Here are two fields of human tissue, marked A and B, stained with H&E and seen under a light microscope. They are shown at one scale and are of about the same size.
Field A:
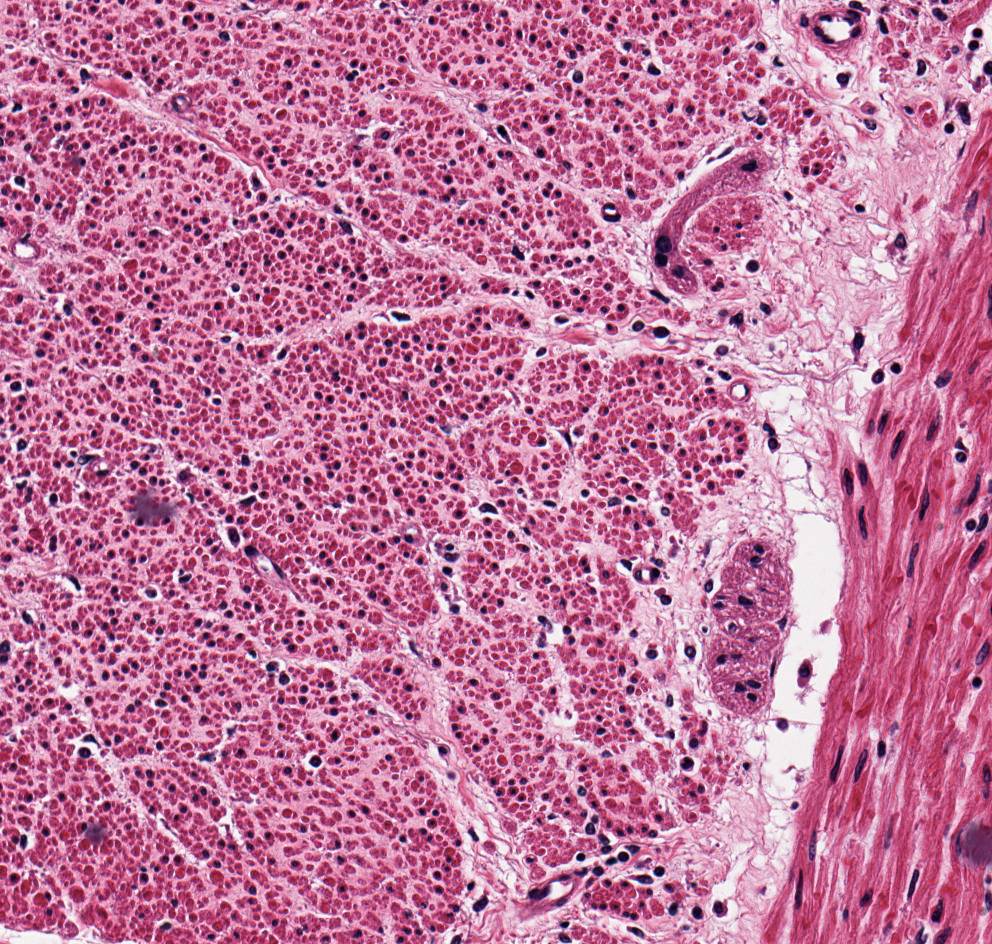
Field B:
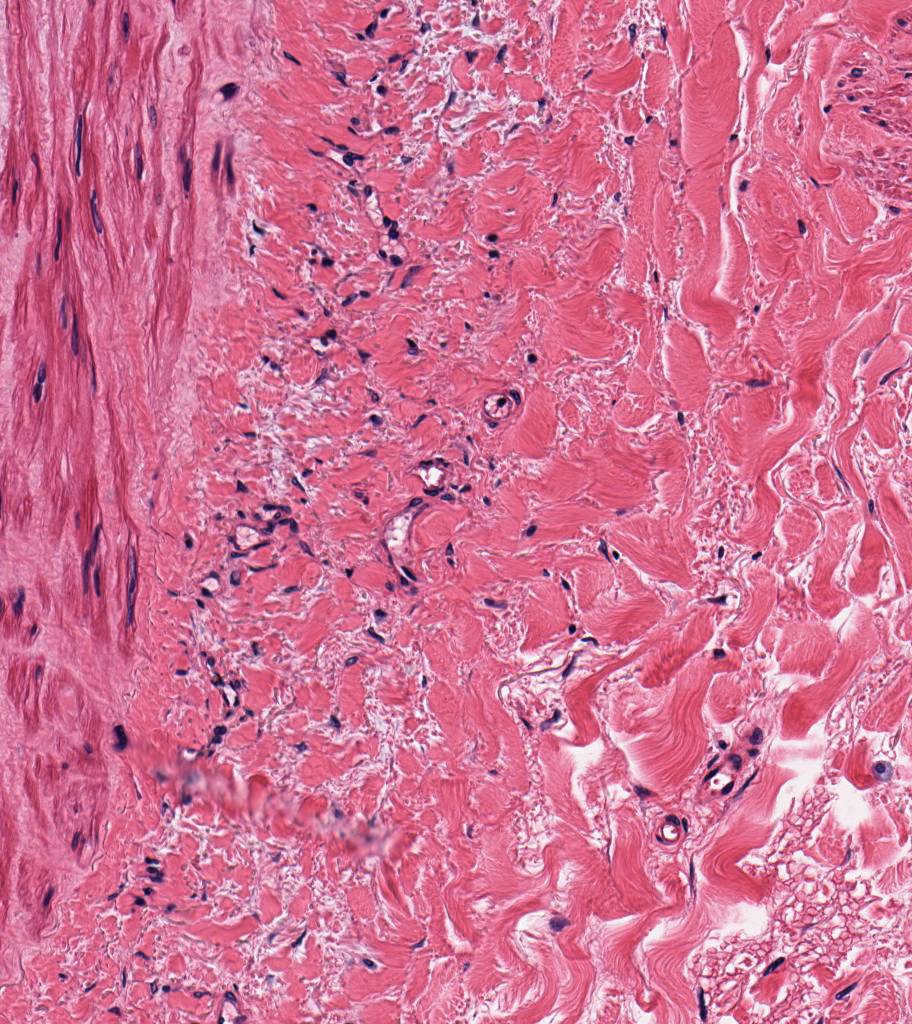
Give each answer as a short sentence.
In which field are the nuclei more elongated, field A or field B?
On the whole the nuclei of field B are more drawn out than those of field A.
